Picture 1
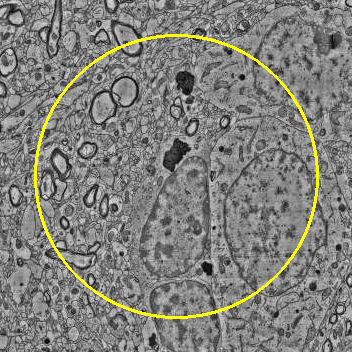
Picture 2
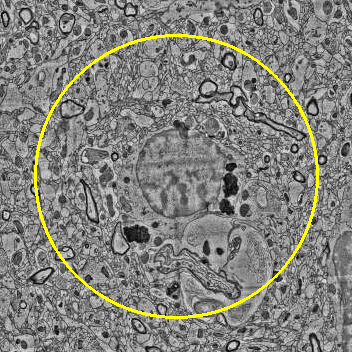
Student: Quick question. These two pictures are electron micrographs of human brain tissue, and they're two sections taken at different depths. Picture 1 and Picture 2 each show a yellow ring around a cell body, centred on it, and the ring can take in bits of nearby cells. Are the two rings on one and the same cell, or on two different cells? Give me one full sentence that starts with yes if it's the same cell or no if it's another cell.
No, these are two different cells, each marked with a ring.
